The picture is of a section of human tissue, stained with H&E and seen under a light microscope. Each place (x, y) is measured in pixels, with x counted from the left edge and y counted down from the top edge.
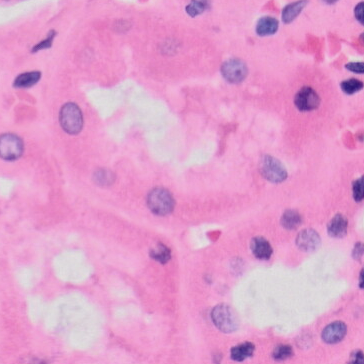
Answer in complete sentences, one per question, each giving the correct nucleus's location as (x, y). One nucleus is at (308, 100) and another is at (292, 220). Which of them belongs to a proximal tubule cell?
The member of the pair belonging to a proximal tubule cell is the nucleus at (308, 100).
